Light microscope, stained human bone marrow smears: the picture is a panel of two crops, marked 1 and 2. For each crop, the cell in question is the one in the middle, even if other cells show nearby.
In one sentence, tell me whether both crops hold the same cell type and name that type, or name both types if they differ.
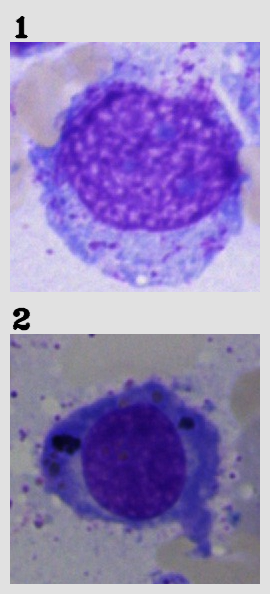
No, crop 1 presents a promyelocyte, whereas crop 2 presents a plasma cell.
